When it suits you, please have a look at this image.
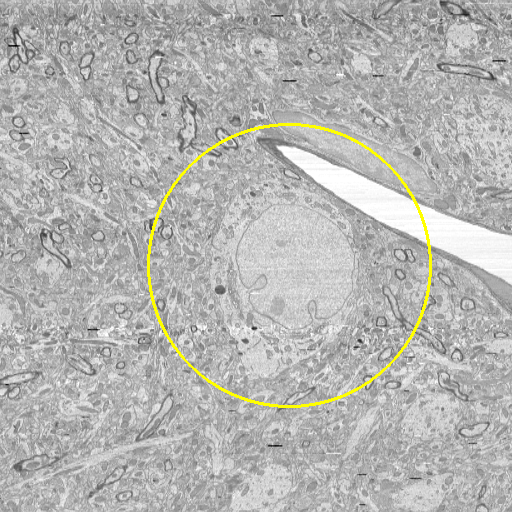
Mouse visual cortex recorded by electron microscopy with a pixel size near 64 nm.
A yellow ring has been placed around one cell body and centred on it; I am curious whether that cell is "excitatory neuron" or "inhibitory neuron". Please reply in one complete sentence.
The ringed cell, an excitatory neuron, has its body at the centre of the yellow ring.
